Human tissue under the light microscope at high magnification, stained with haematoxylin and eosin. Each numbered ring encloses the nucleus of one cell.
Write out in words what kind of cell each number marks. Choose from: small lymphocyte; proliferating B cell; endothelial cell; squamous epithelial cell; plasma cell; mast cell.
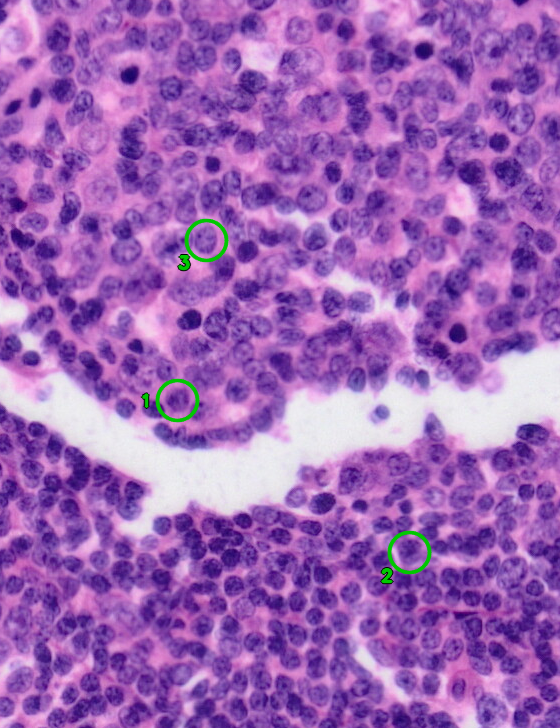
Cells 1 and 3 are proliferating B cells. Cell 2 is a small lymphocyte.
